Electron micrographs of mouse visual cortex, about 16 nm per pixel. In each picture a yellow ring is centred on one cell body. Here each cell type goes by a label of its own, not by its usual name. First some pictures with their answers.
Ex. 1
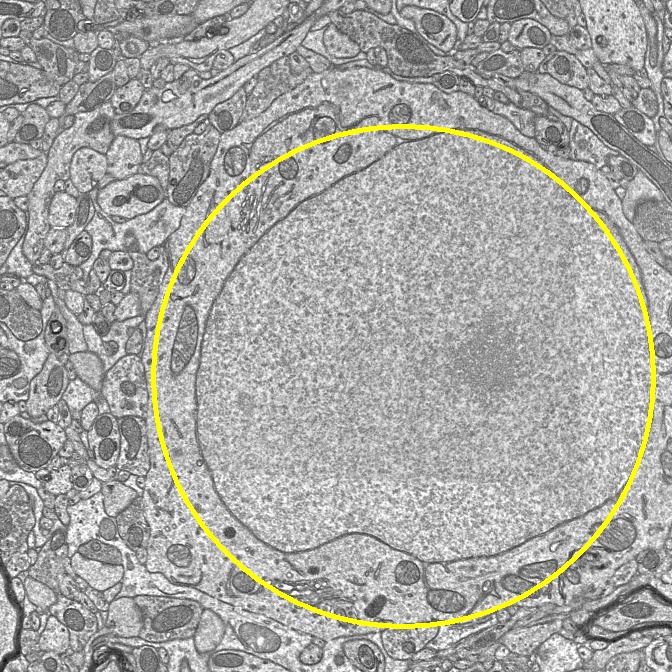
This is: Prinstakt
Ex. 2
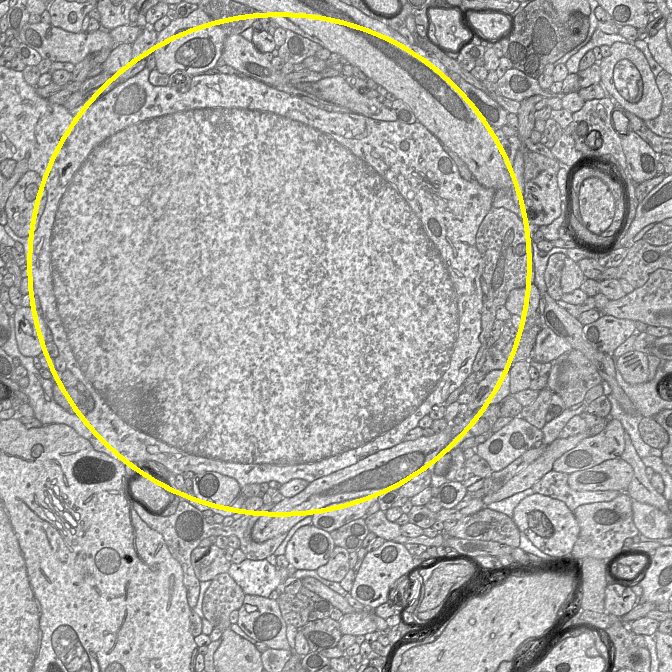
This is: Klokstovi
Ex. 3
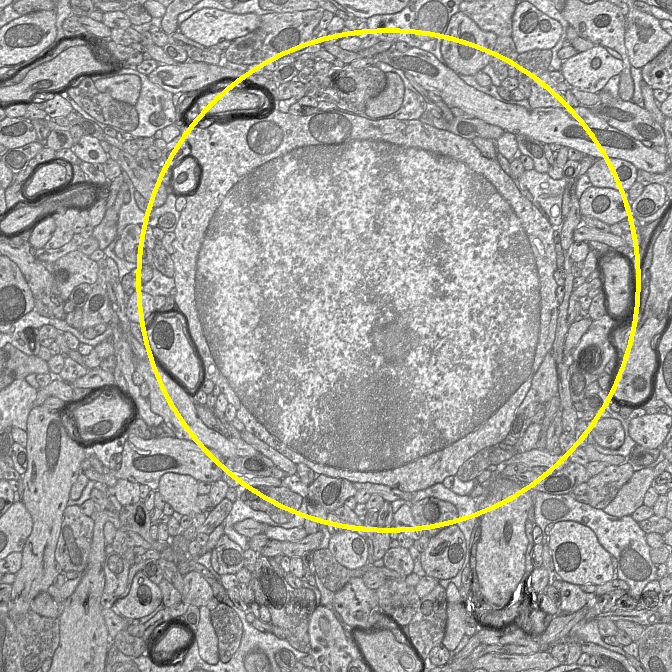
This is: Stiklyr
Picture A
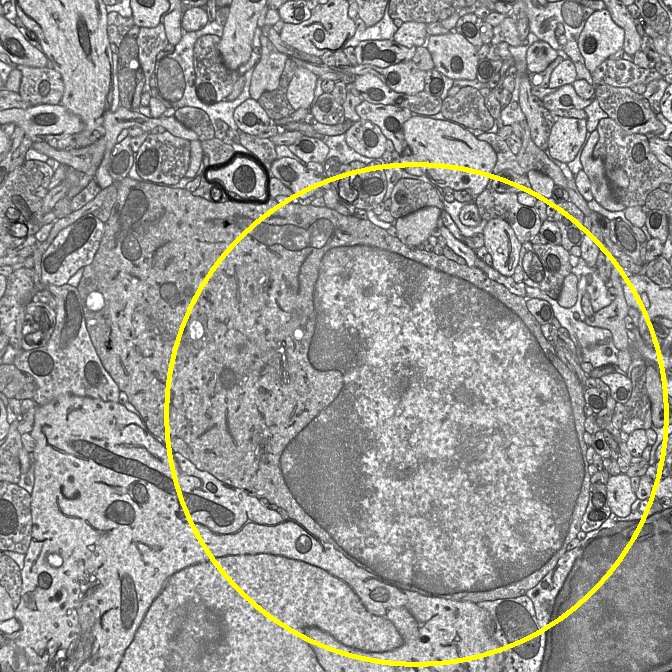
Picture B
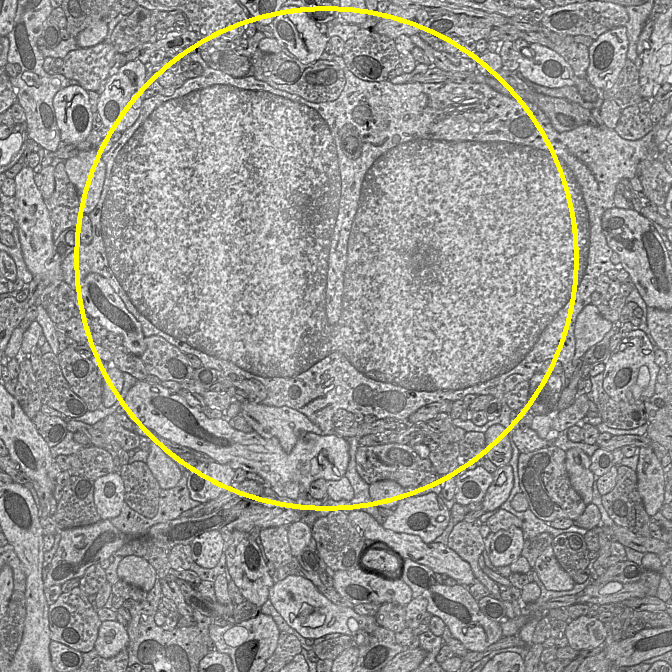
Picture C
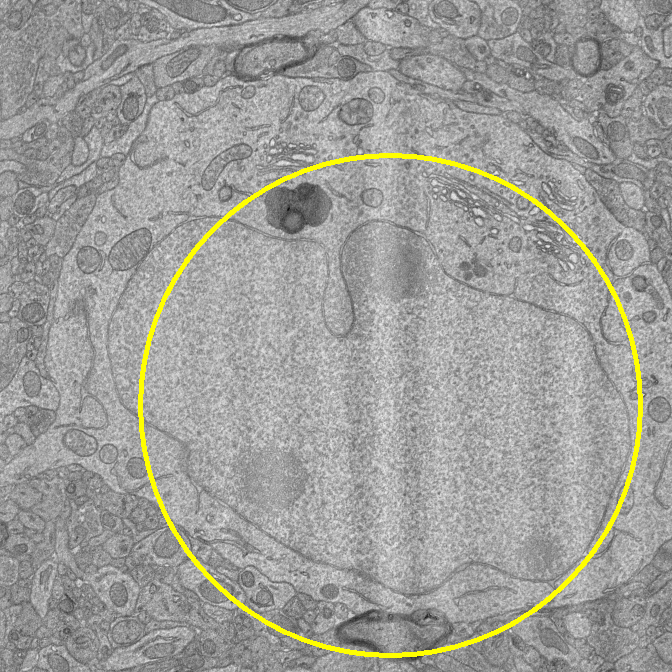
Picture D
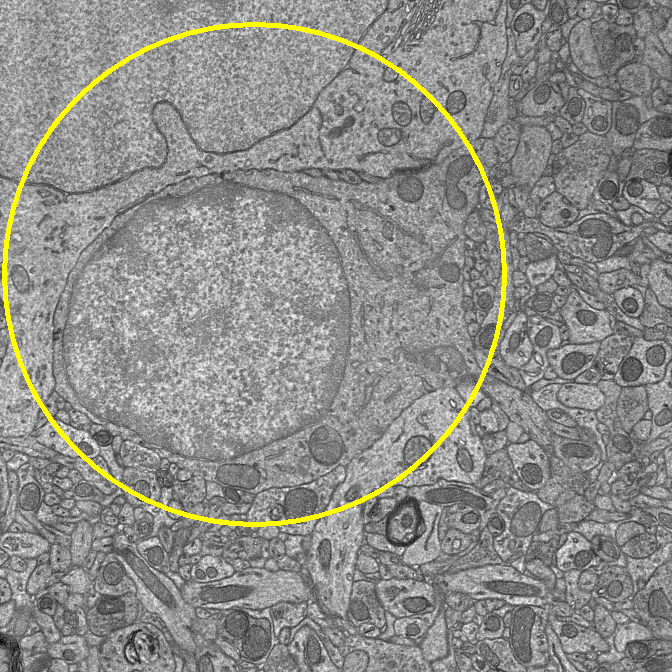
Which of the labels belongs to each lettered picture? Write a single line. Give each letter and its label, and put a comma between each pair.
A Stiklyr, B Klokstovi, C Prinstakt, D Stiklyr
